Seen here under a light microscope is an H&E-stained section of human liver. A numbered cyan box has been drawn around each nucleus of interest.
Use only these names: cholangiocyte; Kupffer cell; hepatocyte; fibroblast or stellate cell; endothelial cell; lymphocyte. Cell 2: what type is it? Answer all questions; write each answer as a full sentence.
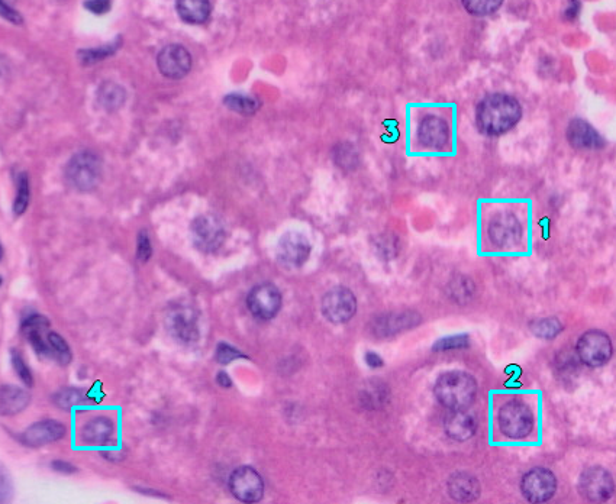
Identified as a hepatocyte is the cell bearing the number 2.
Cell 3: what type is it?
Cell 3 should be recorded as a hepatocyte.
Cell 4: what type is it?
Identified as a cholangiocyte is the cell bearing the number 4.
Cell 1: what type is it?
The cell whose nucleus carries the number 1 is a hepatocyte.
